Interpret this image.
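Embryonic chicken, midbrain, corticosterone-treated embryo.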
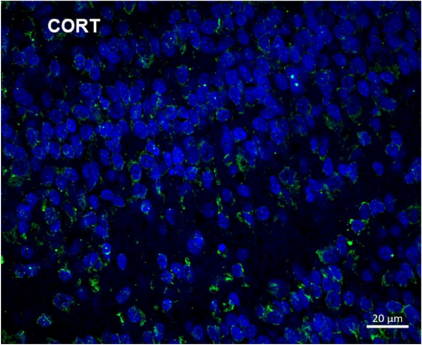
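Densely packed neural tissue is shown, made up of many small cells with round to oval blue nuclei crowded closely together. Green staining is sparse: it appears mostly as small scattered dots and short, faint rims next to some nuclei, rather than as continuous rings around the cells. A few brighter green rims occur near the lower edge of the field. The nuclei vary slightly in brightness and size, and some look paler with a speckled texture.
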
